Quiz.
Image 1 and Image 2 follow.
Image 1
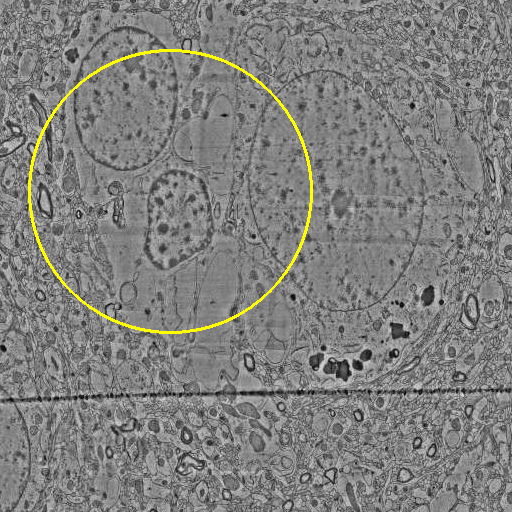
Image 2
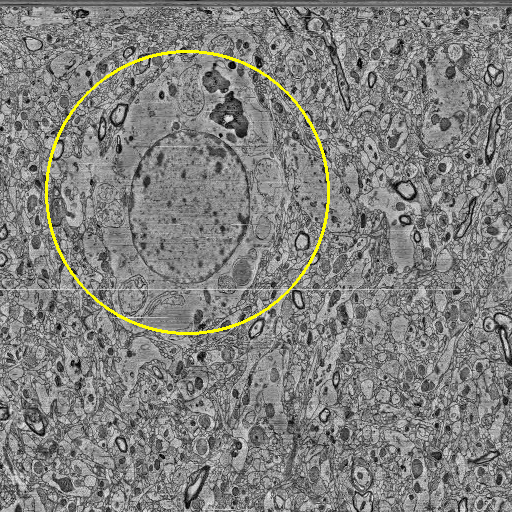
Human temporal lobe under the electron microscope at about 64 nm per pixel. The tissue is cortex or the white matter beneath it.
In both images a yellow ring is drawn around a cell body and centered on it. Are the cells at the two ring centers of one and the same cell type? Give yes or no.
yes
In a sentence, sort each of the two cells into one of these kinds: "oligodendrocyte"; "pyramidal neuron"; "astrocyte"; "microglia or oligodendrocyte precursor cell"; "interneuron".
The cell at the ring centre is an astrocyte in both pictures.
